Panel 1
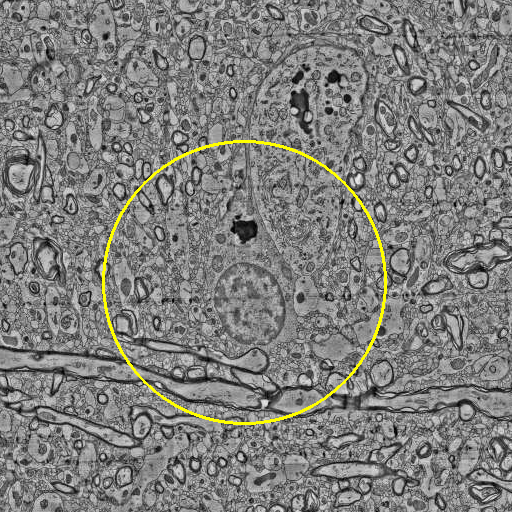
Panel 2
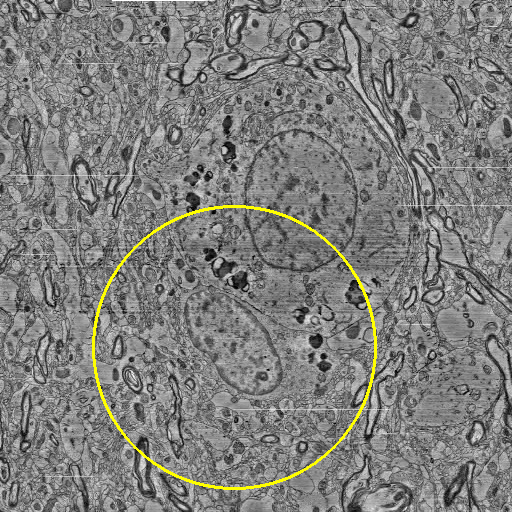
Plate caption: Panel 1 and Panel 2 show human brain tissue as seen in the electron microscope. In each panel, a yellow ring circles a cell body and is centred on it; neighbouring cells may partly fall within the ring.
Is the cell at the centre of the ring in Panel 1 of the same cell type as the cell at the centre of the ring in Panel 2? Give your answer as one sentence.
Yes, the two cells are of the same type.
